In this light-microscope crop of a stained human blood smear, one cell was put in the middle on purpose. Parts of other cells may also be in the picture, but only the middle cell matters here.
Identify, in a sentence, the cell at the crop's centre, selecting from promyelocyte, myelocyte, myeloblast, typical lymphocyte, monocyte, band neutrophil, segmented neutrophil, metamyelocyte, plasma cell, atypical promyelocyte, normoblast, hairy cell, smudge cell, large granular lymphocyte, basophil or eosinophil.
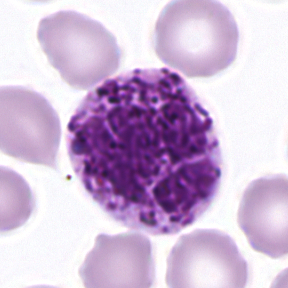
The centrally located cell in the crop is a basophil.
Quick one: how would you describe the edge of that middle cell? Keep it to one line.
No surface projections are present; the cell outline is smooth.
